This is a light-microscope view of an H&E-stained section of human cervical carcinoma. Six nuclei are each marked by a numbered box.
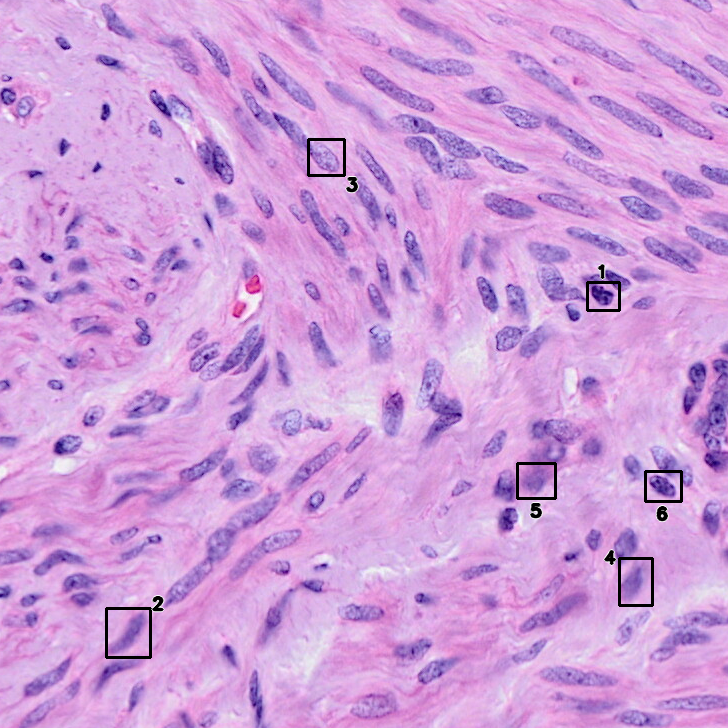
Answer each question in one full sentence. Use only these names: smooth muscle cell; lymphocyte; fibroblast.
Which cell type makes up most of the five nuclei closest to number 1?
Of the five nuclei nearest to number 1, most belong to fibroblasts.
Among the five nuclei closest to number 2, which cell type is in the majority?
Smooth muscle cells make up most of the five nuclei closest to number 2.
